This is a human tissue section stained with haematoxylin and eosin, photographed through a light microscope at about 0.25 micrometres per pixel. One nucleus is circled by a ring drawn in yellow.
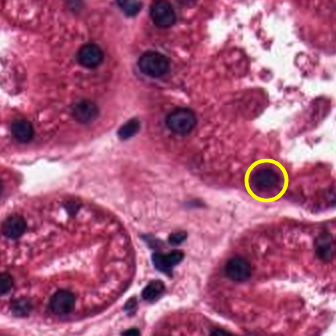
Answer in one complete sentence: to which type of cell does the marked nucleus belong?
The nucleus bearing the mark belongs to a proximal tubule cell.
